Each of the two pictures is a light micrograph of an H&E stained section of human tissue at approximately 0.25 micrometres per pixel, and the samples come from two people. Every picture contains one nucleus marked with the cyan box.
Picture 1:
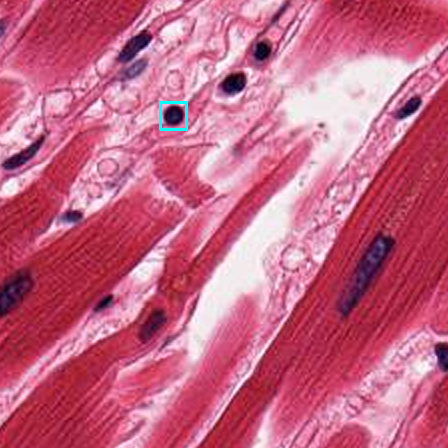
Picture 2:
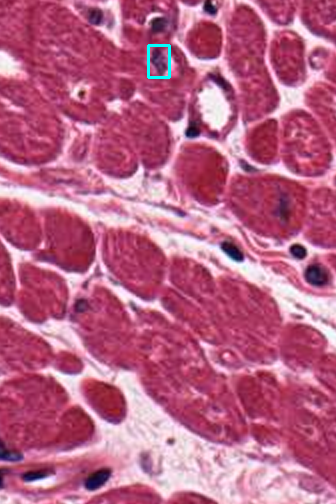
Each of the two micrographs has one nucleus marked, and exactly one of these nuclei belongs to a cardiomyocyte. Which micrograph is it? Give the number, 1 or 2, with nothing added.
2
